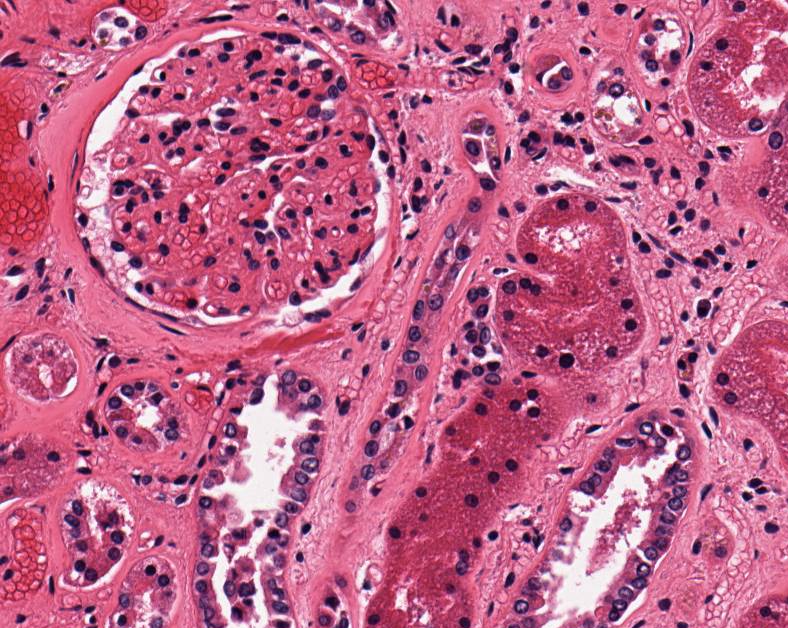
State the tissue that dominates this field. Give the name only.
cortical labyrinth of the kidney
